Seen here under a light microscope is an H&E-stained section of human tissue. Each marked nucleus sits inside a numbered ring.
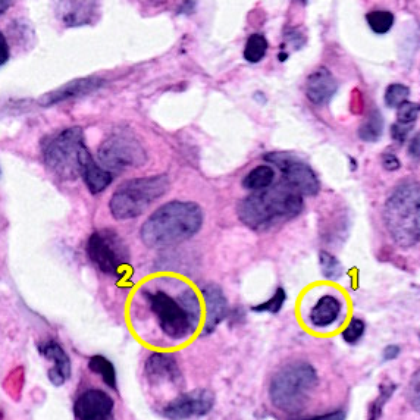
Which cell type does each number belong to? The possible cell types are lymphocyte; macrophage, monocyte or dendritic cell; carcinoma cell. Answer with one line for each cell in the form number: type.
1: lymphocyte
2: carcinoma cell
